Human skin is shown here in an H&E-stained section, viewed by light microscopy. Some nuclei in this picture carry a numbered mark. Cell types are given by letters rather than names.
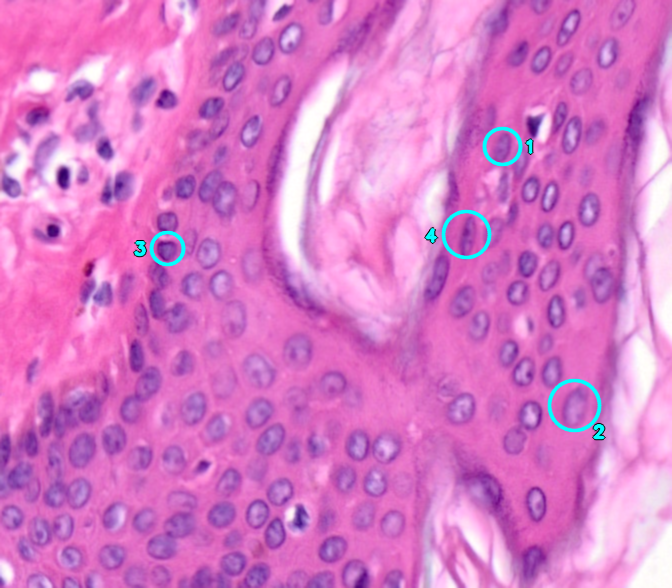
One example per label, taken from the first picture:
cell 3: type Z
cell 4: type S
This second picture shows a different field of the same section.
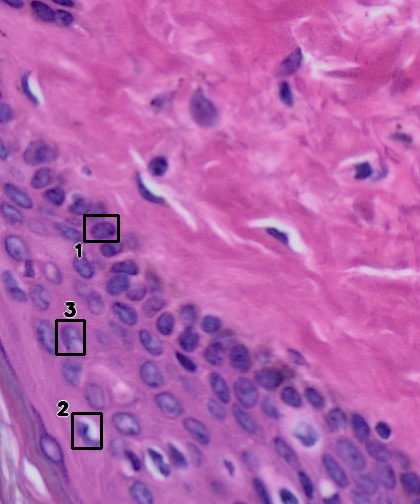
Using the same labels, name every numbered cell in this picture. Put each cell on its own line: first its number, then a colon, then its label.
1: type Z
2: type S
3: type S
